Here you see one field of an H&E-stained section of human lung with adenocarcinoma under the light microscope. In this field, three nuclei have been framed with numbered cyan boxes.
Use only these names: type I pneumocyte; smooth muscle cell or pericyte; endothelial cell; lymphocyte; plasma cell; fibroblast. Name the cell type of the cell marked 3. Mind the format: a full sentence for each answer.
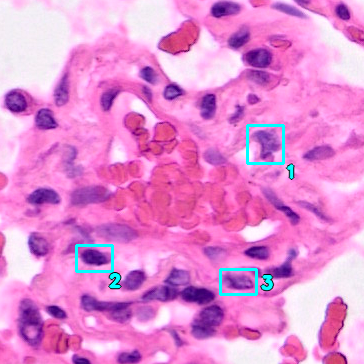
The nucleus marked 3 is the nucleus of a fibroblast.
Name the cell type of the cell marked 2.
Among the marked cells, number 2 is a plasma cell.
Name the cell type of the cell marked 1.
Cell 1, as marked in the section, is a fibroblast.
